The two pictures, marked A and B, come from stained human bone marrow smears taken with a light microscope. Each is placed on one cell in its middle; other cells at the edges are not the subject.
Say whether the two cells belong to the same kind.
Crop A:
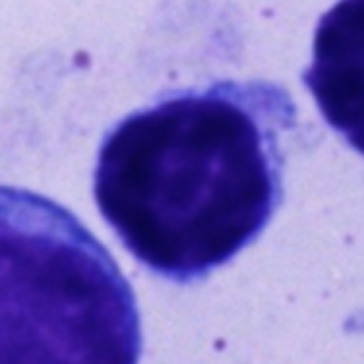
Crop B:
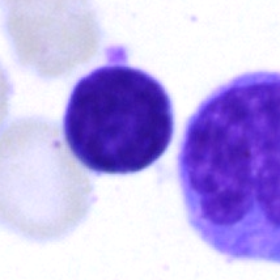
yes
